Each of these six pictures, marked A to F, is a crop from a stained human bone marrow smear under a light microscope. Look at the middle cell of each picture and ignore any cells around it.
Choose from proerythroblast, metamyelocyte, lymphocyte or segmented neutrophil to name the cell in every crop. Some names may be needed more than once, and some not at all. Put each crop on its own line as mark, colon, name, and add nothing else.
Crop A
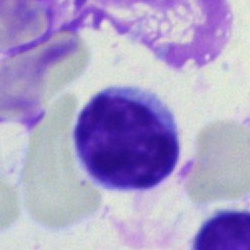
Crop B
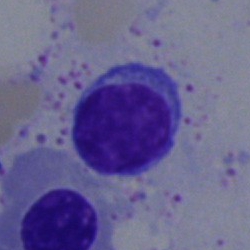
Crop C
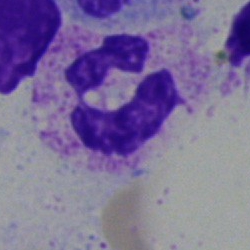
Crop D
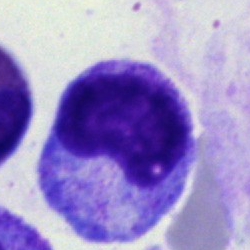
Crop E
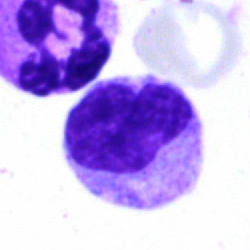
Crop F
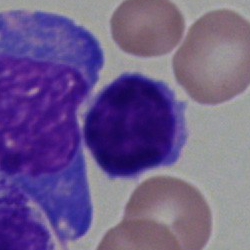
A: lymphocyte
B: lymphocyte
C: segmented neutrophil
D: metamyelocyte
E: metamyelocyte
F: lymphocyte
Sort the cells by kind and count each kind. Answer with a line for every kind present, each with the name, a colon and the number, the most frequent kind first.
lymphocyte: 3
metamyelocyte: 2
segmented neutrophil: 1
